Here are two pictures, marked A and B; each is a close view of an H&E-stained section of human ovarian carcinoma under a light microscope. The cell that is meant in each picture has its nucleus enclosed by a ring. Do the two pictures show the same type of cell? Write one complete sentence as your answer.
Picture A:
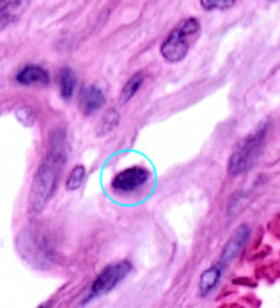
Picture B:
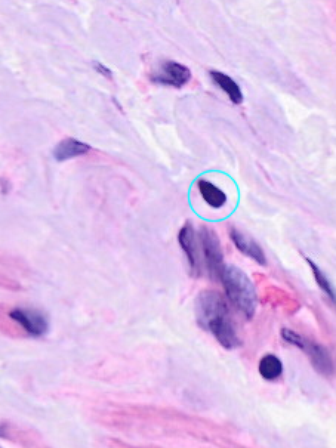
Yes; the cells in both pictures are lymphocytes.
